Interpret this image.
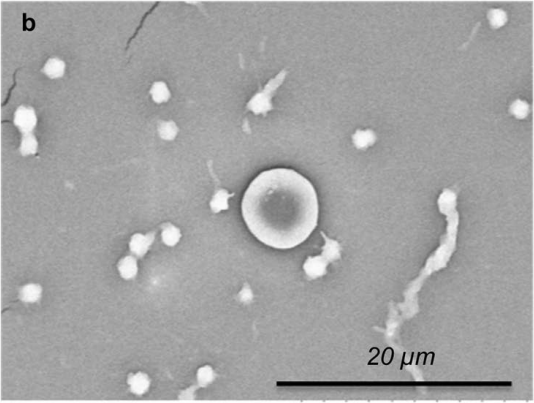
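Scanning electron view of small blood platelets adhering to a flat surface. The platelets appear as bright, compact rounded bodies, much smaller than the scale bar, scattered singly or in pairs across the field. Several have short, thin projections extending from their margins. Near the center lies a much larger round disc with a raised rim and a darker center. At lower right an elongated, irregular strand of material runs diagonally, with rounded bodies nearby. Fine cracks cross the surface at the upper left. No internal detail of the bodies is visible, only their surface contours.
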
